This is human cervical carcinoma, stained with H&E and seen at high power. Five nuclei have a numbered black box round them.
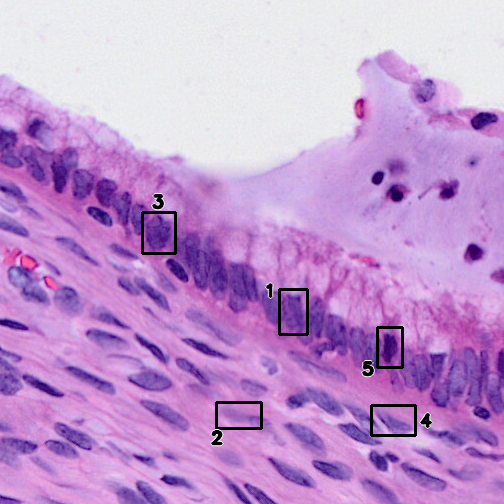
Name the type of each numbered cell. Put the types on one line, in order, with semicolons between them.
secretory epithelial cell; fibroblast; secretory epithelial cell; fibroblast; secretory epithelial cell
